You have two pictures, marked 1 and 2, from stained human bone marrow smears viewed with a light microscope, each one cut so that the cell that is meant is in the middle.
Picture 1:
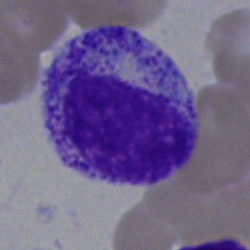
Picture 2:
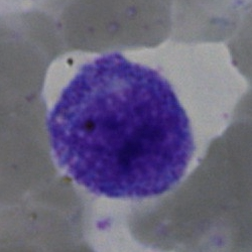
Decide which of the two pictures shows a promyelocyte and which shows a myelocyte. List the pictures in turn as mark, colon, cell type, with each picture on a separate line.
1: myelocyte
2: promyelocyte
